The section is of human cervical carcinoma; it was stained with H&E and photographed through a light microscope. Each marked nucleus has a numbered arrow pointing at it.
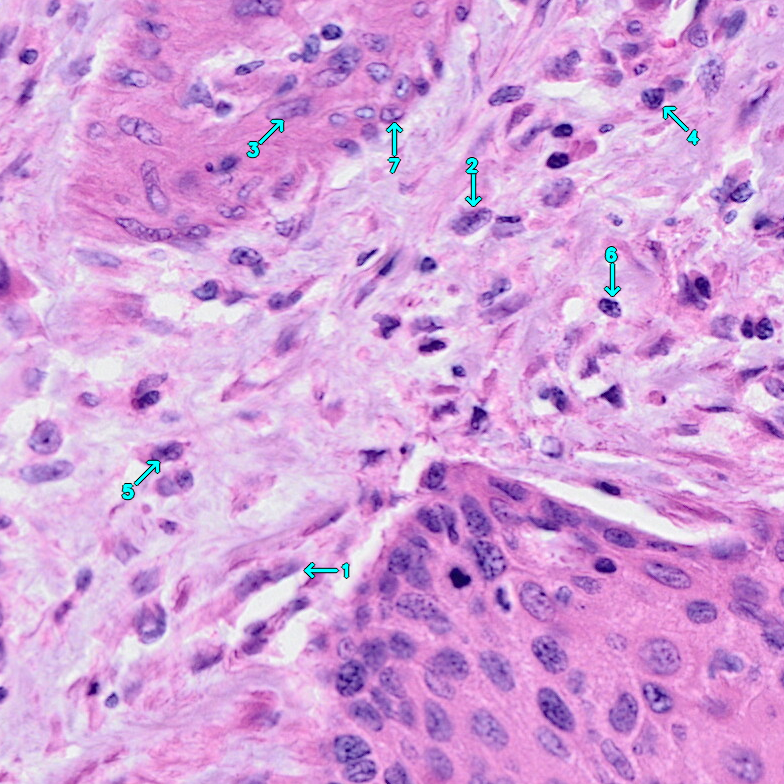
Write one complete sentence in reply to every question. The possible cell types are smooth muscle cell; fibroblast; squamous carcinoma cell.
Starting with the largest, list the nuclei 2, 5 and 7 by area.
The nuclei rank 2, 5, 7, from largest to smallest.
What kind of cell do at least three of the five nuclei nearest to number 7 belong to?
Smooth muscle cells make up most of the five nuclei closest to number 7.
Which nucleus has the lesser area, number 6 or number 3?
Nucleus 6 covers less area, with nucleus 3 about 2 times as large.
